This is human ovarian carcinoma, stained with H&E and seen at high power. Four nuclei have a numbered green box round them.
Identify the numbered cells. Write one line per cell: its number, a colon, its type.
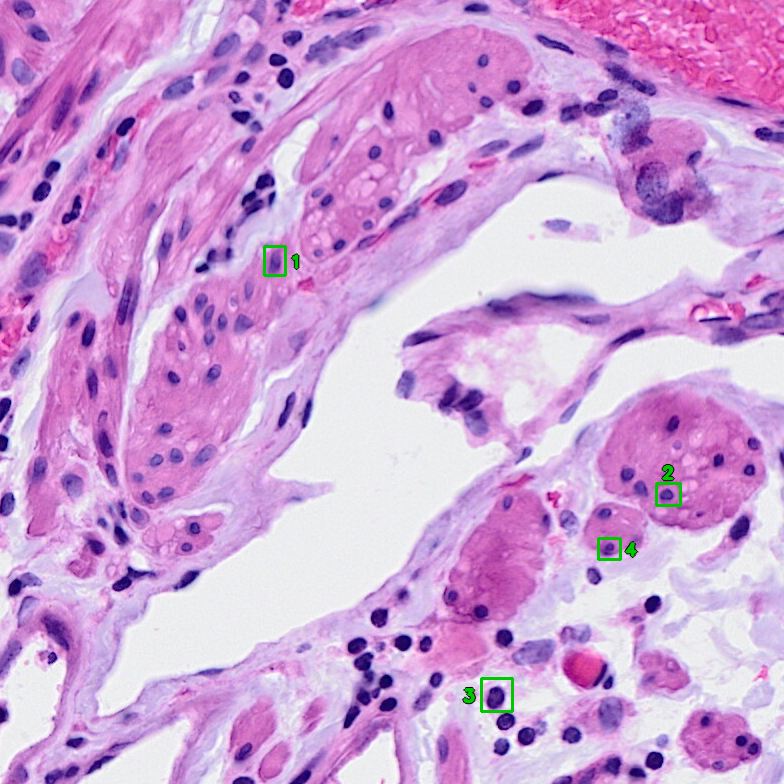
1: smooth muscle cell
2: smooth muscle cell
3: lymphocyte
4: smooth muscle cell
